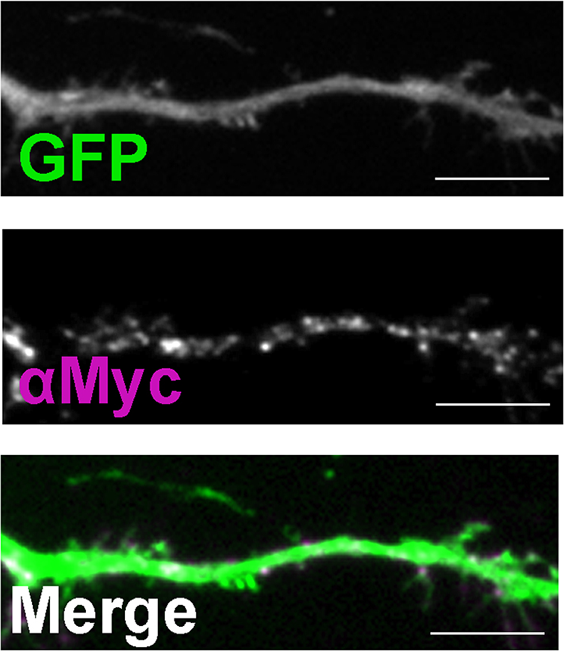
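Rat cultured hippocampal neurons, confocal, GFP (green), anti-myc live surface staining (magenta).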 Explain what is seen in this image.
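A long thin green process runs across the frame with short side protrusions along it. The magenta channel shows small puncta scattered along the length of the process.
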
